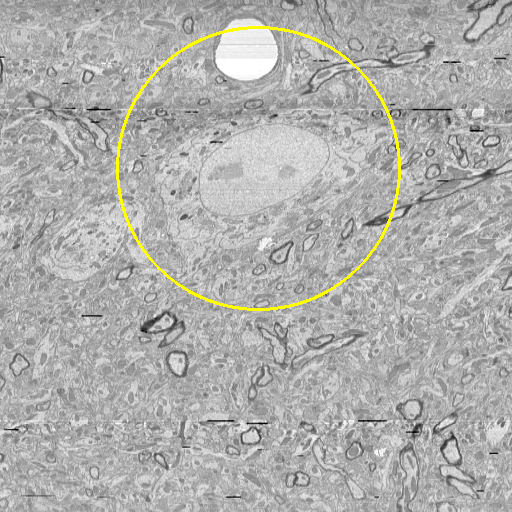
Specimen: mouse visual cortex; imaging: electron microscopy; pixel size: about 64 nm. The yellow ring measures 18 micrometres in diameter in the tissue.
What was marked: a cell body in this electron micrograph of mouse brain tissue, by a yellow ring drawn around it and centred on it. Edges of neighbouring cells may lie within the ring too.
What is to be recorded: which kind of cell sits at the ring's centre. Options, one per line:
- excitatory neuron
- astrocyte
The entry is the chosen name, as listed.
excitatory neuron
